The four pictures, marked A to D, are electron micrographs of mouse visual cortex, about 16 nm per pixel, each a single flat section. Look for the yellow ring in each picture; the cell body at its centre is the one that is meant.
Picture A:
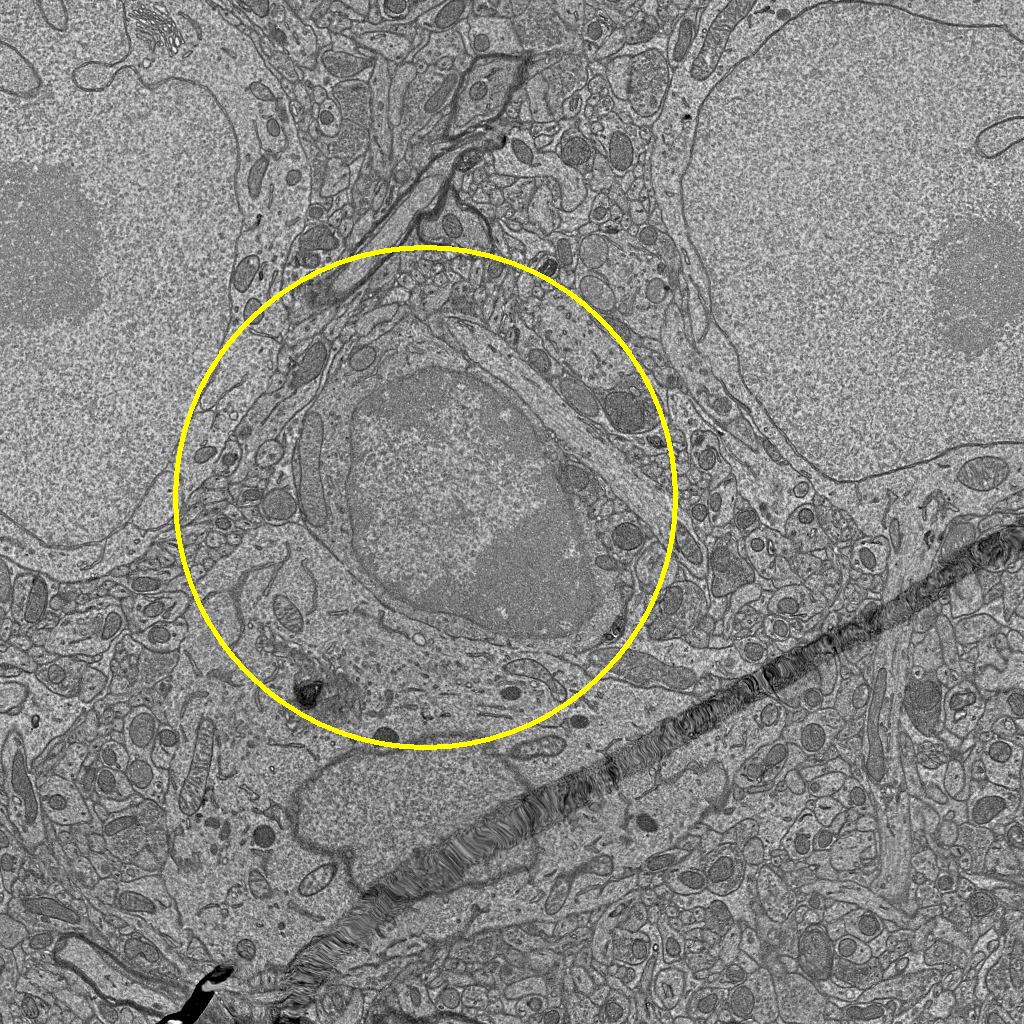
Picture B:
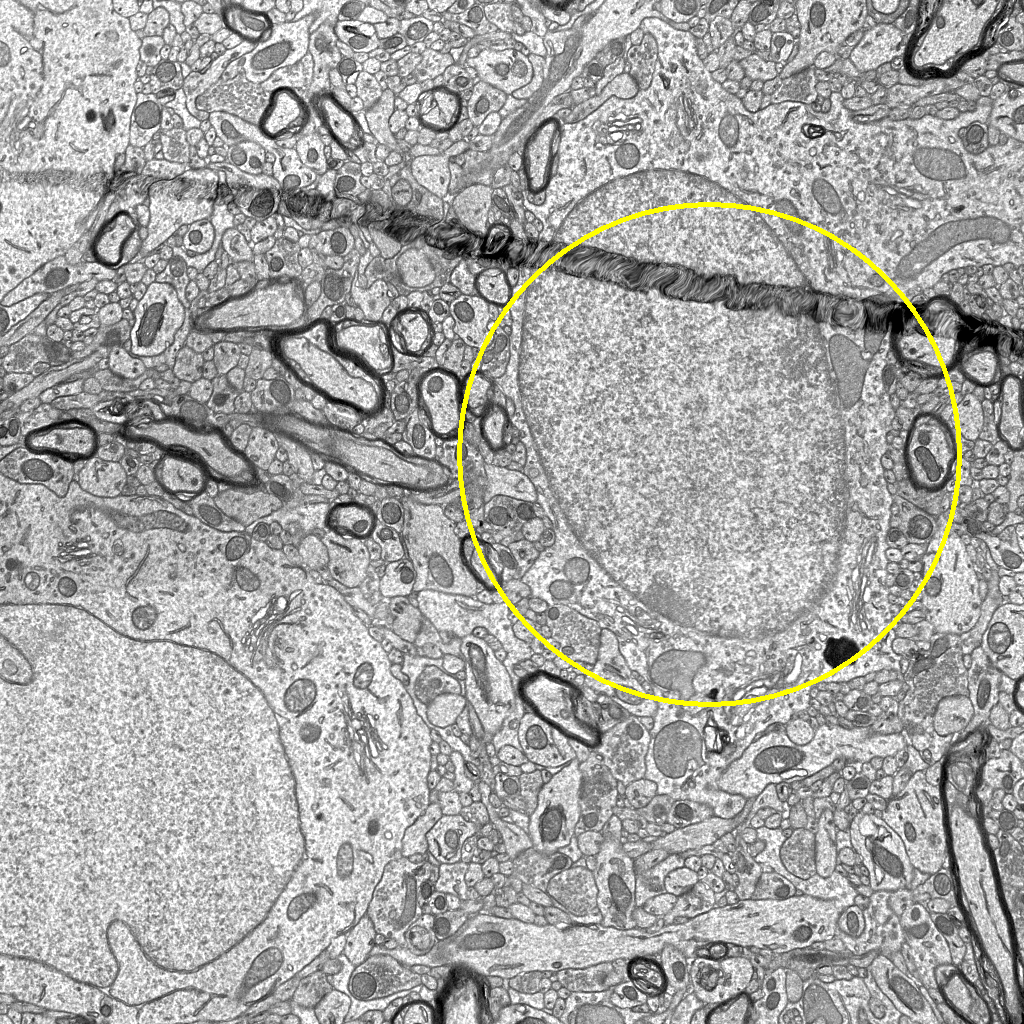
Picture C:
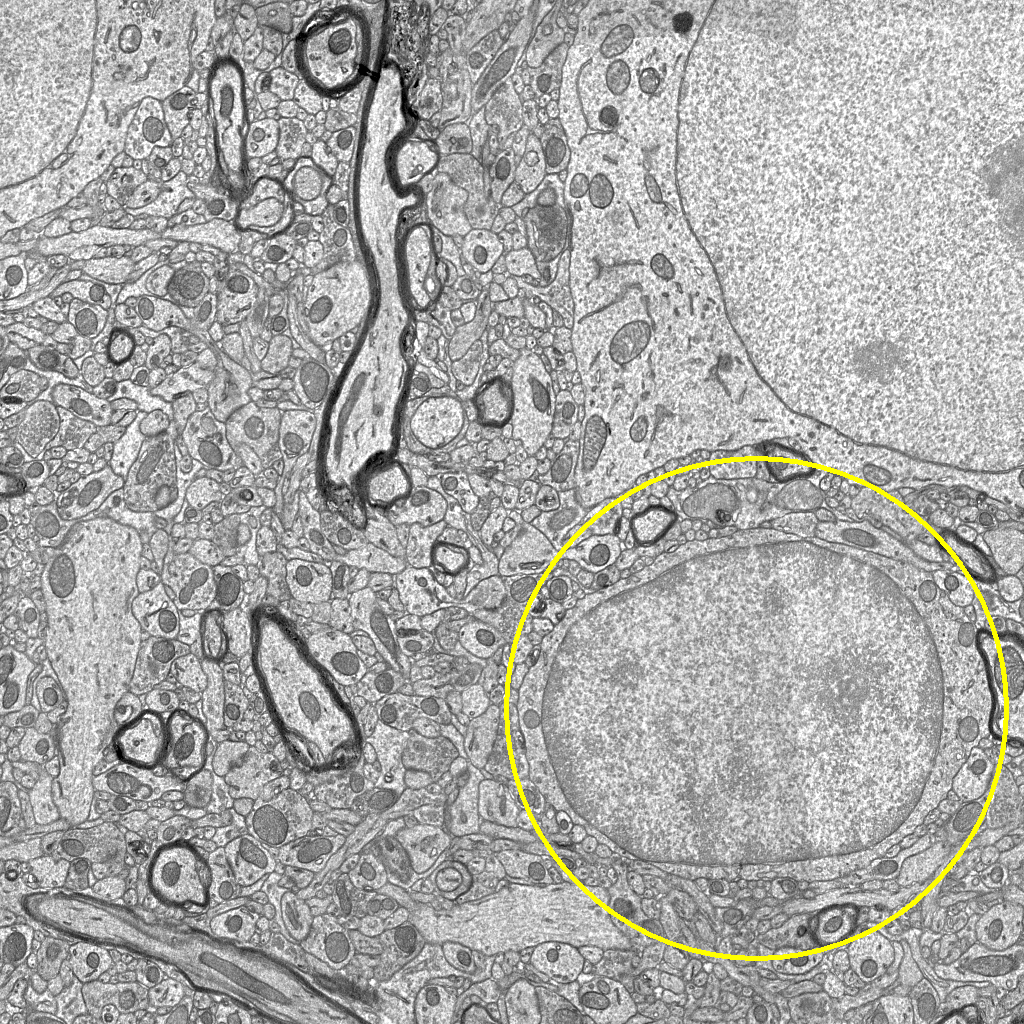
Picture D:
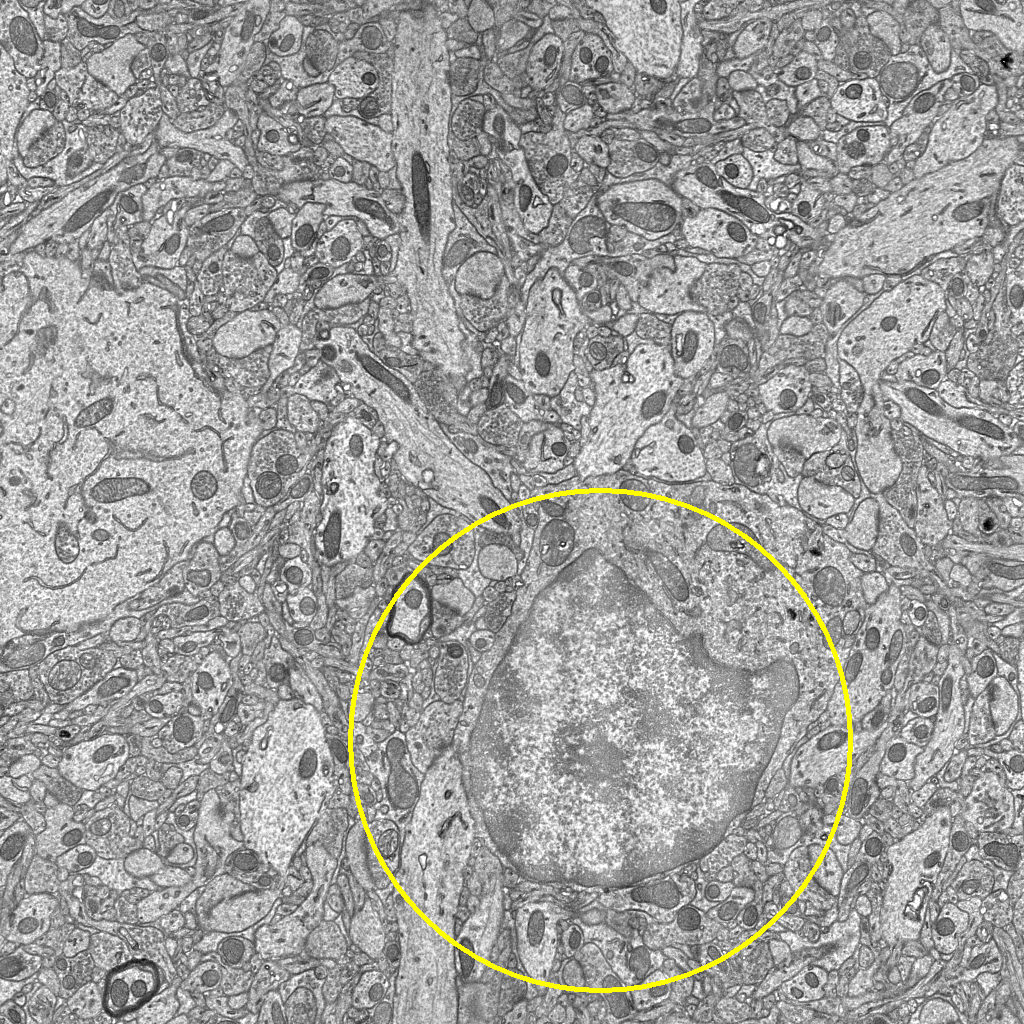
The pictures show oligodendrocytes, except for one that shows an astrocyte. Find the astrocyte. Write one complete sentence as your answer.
Picture B is the one that shows the astrocyte.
